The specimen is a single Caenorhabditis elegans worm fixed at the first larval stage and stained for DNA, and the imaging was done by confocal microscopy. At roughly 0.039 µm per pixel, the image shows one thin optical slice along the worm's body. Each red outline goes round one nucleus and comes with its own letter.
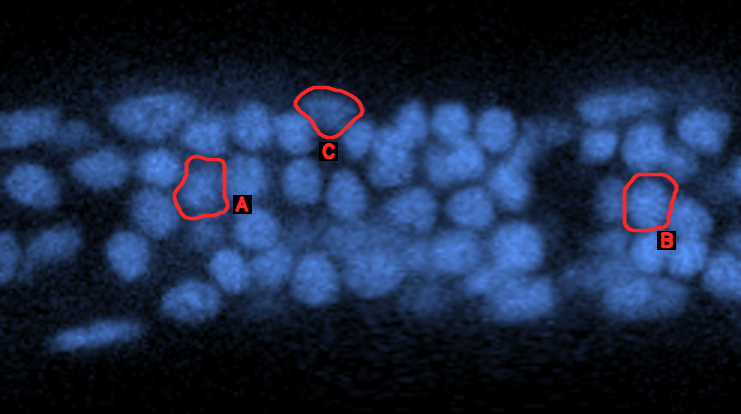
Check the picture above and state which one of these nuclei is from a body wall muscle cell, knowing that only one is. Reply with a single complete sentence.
C is the nucleus of a body wall muscle cell.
